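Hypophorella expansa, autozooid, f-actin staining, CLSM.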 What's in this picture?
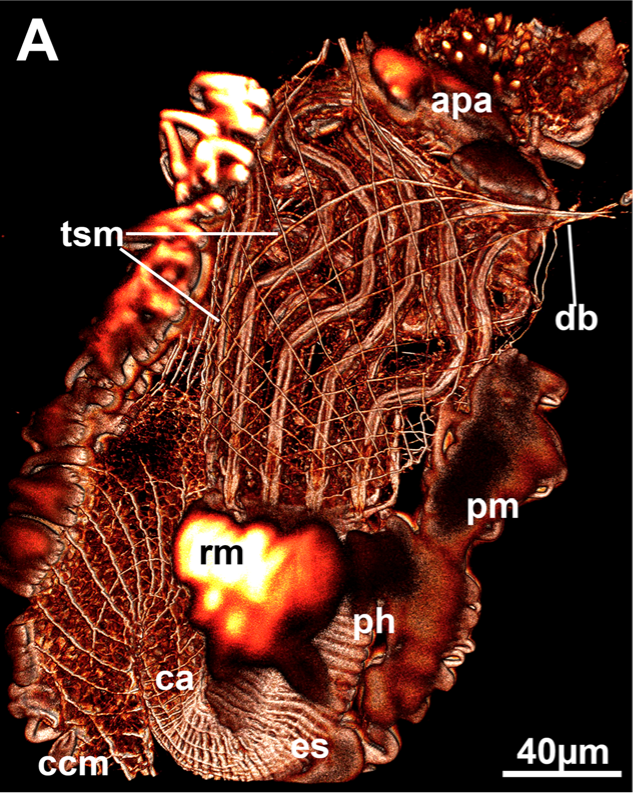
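A delicate lattice of thin crossing fibres forms a basket over the tentacle sheath, while several thick, wavy muscle bundles run lengthwise through it from the base of the retracted polypide toward the aperture end. At the lower part a compact, brightly stained mass of retractor muscle sits beside the gut. The caecum is wrapped by a fine net of radiating and encircling fibres, and the esophagus shows closely spaced ring-like striations. Segmented-looking body wall muscles line one side of the zooid.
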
